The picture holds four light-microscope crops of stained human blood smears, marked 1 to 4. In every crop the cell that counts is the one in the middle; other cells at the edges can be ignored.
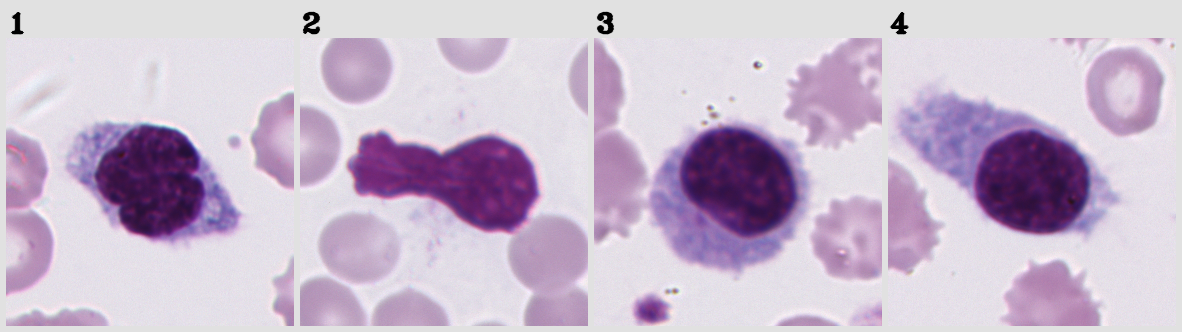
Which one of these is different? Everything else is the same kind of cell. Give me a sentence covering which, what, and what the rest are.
Of these crops, only crop 2 is a smudge cell; the others are hairy cells.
